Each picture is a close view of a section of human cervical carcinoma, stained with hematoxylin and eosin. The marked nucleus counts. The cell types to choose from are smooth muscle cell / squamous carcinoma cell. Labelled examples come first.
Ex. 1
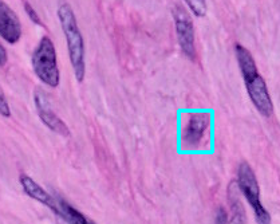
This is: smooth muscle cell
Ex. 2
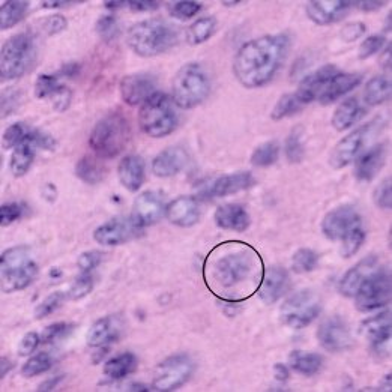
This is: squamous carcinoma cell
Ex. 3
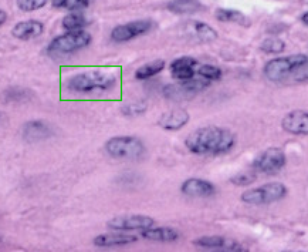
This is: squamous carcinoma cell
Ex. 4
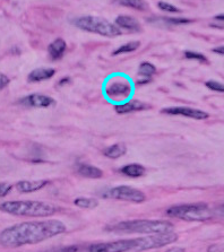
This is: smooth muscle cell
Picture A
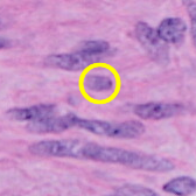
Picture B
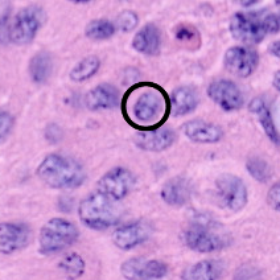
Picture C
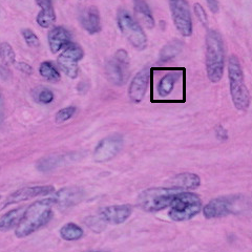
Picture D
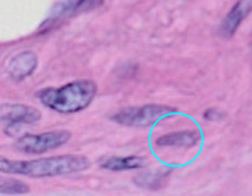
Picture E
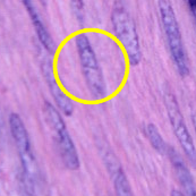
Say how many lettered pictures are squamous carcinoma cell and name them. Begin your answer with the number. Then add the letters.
Count: 1 (B)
